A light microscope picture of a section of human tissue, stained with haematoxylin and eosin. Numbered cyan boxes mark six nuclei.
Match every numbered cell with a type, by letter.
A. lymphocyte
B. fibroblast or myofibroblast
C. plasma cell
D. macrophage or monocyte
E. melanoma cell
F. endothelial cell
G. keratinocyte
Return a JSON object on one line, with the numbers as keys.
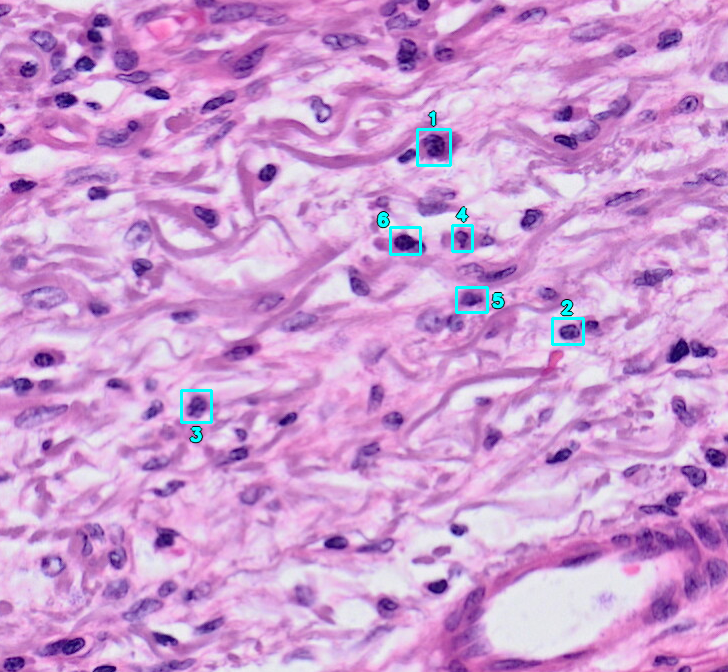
{"1": "C", "2": "A", "3": "C", "4": "D", "5": "C", "6": "C"}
